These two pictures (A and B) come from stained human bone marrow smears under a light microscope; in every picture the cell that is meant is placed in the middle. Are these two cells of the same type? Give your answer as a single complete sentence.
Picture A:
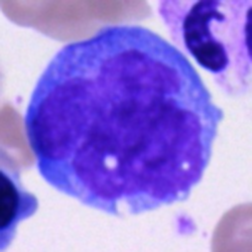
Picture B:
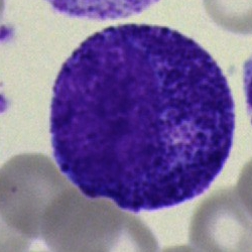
No, the types are not the same, since picture A shows a monocyte and picture B a promyelocyte.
